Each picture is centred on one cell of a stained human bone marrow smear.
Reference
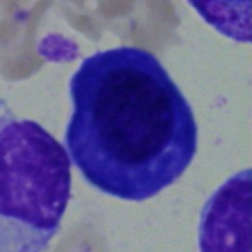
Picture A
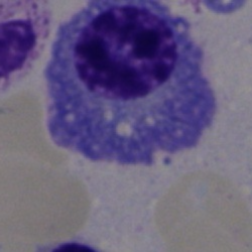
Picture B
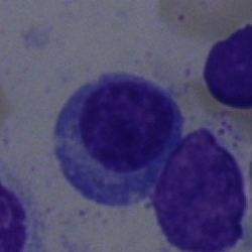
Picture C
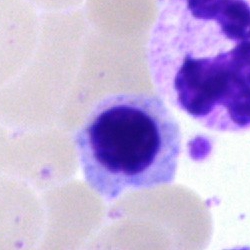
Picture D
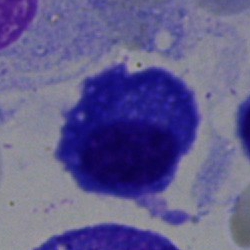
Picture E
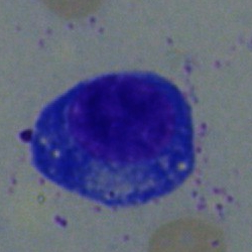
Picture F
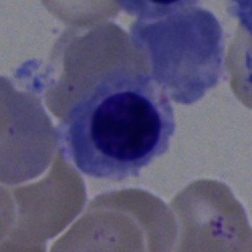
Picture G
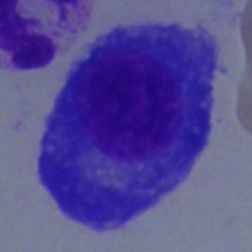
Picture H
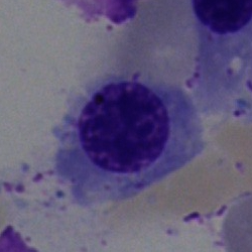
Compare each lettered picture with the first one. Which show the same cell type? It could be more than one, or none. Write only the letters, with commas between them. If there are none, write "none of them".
A, B, D, E, G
